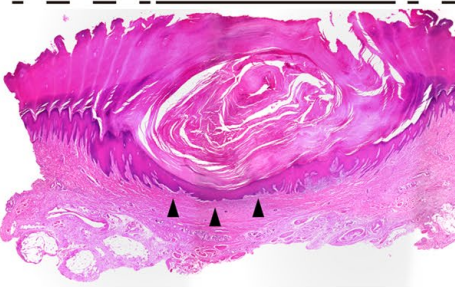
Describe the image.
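A low-magnification section of thick skin stained pink and purple shows a corn. A broad, dense mass of compact, concentrically layered keratin fills the center of the cornified layer. It pushes down into the epidermis, so that the deep purple cell layers beneath it bow downward into the dermis, where arrowheads mark their base. On both sides, the epidermis carries a thick pink cornified layer with a regular ridged surface and undulating rete ridges. Beneath lies pale pink fibrous dermis. Lower still are scattered rounded structures and pale, clear fat lobules.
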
